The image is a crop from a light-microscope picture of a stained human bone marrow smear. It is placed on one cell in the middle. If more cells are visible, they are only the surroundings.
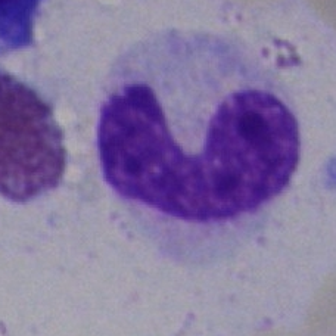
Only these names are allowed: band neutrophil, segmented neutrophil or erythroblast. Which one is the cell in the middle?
band neutrophil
